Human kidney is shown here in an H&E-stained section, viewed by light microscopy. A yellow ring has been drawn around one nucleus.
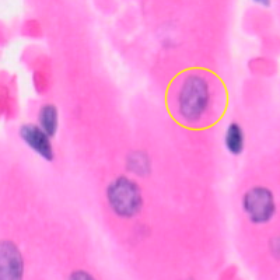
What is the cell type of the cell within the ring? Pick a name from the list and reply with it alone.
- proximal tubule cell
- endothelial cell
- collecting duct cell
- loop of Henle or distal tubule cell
proximal tubule cell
